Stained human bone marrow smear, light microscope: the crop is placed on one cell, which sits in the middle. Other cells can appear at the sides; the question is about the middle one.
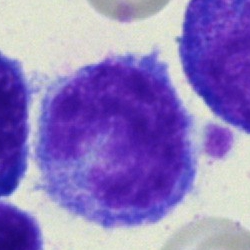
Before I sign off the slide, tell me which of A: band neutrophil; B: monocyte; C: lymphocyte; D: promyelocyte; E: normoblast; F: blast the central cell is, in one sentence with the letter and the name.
Option B is correct here, and the cell in the middle is a monocyte.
